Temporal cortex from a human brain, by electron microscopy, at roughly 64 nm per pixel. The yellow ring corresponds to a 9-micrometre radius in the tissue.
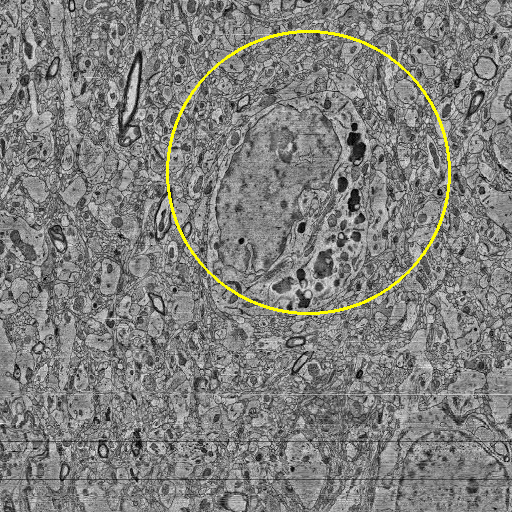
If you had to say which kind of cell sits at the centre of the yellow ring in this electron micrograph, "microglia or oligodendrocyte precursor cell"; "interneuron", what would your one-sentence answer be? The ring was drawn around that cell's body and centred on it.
The cell sitting at the centre of the ring is an interneuron.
